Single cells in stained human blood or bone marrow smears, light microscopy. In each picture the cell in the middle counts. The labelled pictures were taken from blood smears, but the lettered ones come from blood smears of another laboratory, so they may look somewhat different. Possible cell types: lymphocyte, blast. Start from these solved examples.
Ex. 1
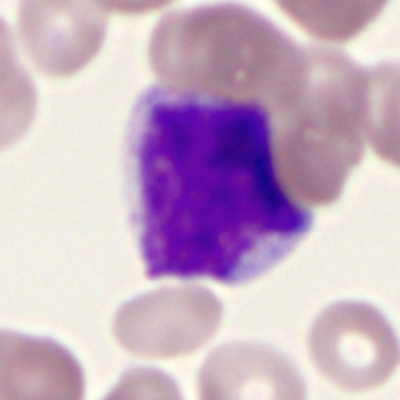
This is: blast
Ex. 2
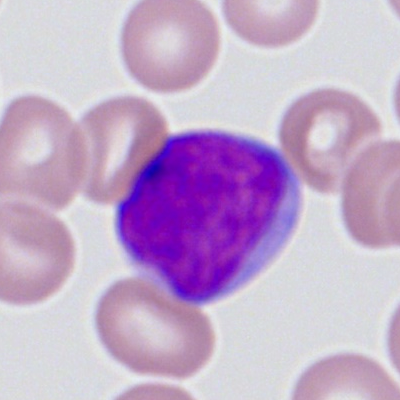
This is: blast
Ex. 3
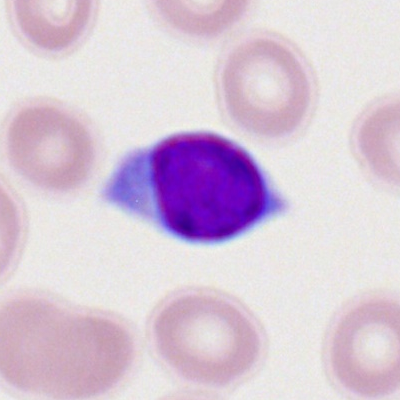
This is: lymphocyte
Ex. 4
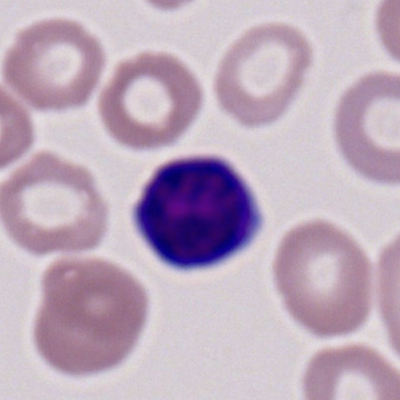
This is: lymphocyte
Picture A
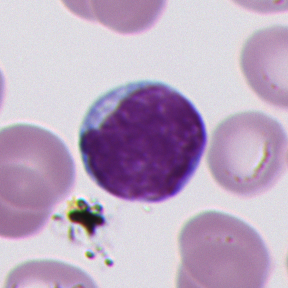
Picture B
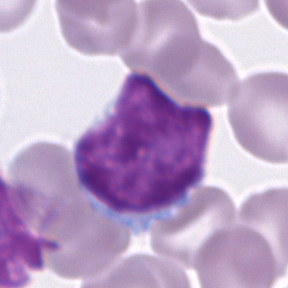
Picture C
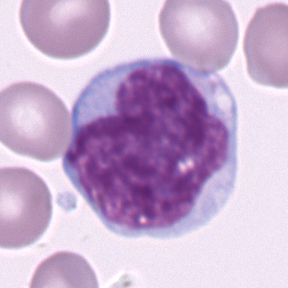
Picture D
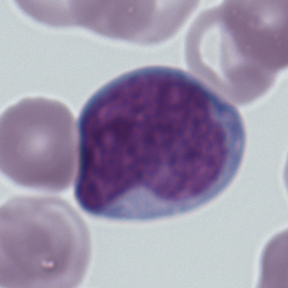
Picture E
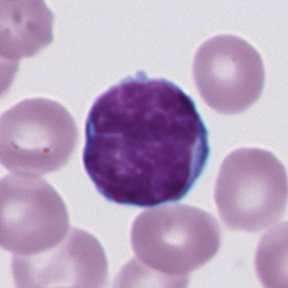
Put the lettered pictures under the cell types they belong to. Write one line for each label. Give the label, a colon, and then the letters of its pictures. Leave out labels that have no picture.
lymphocyte: A, B, E
blast: C, D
